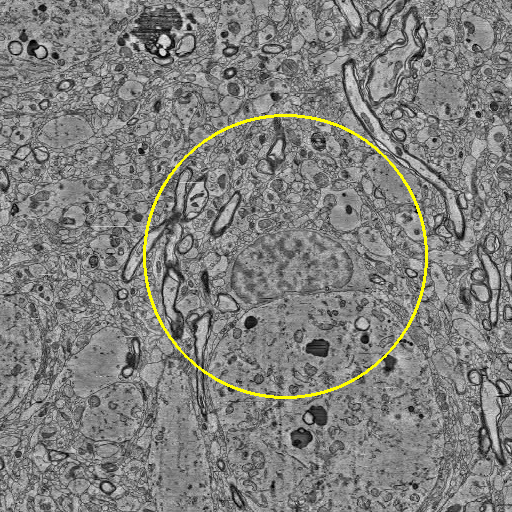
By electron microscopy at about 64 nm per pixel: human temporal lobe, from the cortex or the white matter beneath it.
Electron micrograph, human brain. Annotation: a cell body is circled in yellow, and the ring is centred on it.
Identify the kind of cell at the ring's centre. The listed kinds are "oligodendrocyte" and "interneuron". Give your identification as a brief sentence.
The circled cell body is that of an oligodendrocyte.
